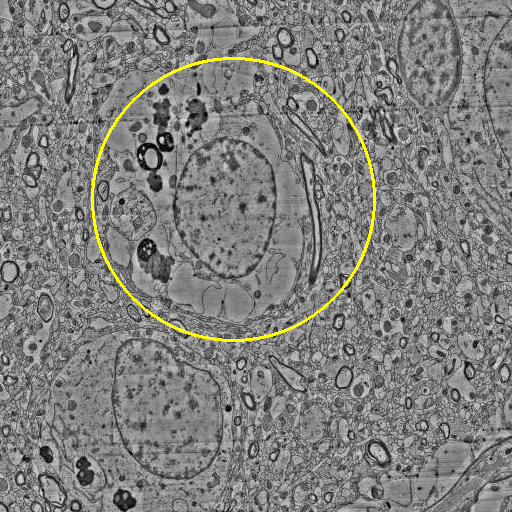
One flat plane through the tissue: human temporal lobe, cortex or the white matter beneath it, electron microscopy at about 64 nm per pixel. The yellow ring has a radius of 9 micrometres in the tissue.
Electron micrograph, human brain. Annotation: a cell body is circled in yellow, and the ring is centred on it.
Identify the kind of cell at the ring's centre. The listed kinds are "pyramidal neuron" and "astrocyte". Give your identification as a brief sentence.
The circled cell body is that of an astrocyte.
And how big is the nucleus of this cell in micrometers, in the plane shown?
The nucleus measures about 9 by 7 micrometres in this plane.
